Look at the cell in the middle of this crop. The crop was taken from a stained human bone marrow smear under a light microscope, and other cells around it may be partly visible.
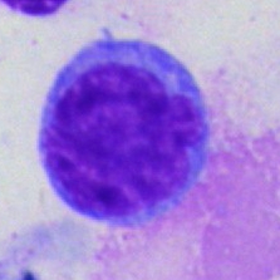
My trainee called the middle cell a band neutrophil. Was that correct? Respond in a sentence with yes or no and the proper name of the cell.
No, the central cell is designated a monocyte and not a band neutrophil.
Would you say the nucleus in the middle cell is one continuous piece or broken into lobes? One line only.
A single compact nucleus is present, shaped round, oval or like a kidney.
